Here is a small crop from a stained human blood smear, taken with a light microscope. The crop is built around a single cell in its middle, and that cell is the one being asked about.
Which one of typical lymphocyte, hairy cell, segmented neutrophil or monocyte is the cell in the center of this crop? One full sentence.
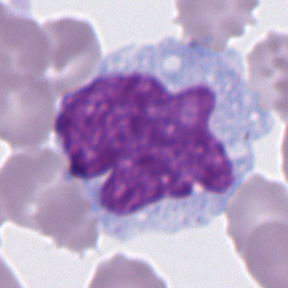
The cell at the middle of the crop is recognized as a monocyte.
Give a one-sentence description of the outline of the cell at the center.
Rather than running smoothly, the cell border is ragged or carries projections.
